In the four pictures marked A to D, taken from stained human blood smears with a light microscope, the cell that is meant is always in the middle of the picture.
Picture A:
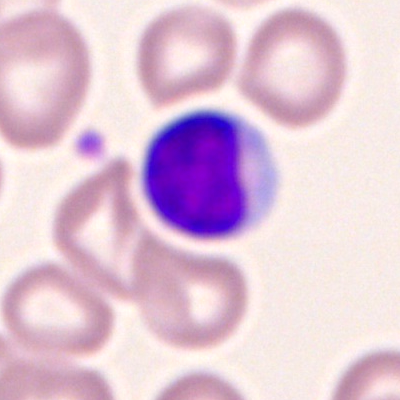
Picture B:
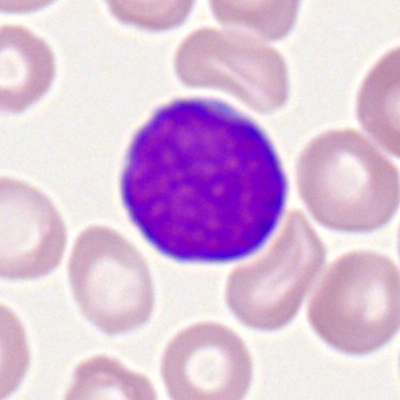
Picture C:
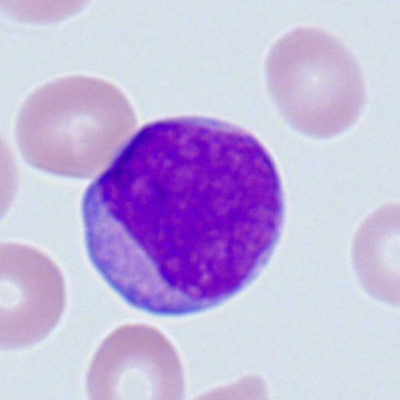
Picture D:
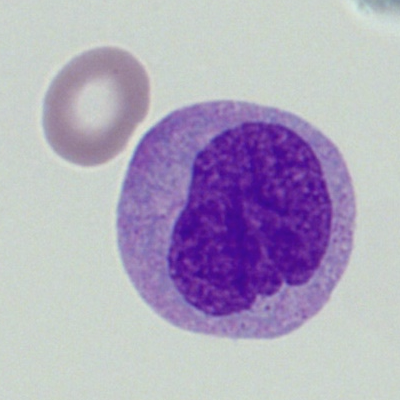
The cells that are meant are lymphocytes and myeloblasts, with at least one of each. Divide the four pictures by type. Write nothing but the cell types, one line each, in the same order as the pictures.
lymphocyte
myeloblast
myeloblast
myeloblast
